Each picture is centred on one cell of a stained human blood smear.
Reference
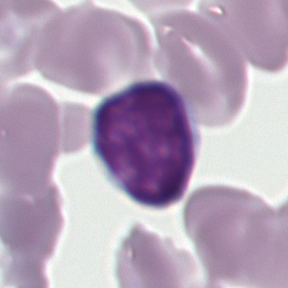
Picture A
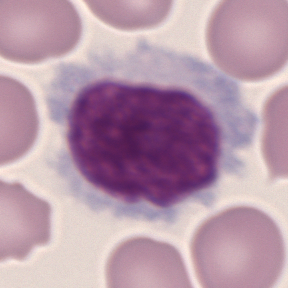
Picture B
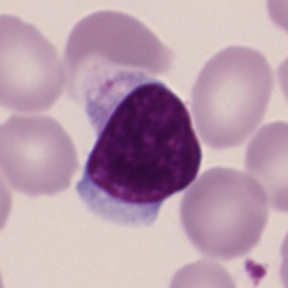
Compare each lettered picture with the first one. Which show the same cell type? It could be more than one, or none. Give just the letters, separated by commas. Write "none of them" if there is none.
B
